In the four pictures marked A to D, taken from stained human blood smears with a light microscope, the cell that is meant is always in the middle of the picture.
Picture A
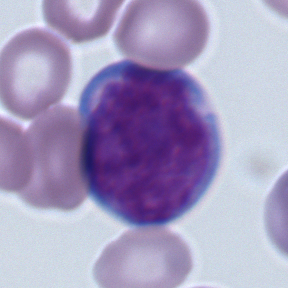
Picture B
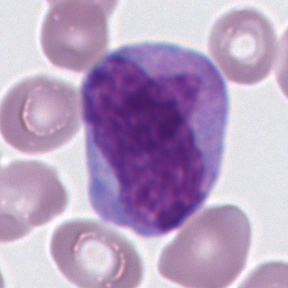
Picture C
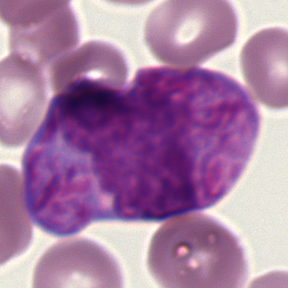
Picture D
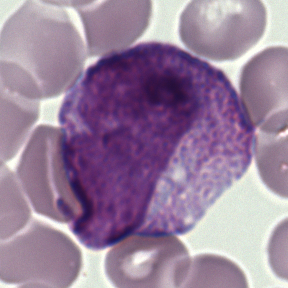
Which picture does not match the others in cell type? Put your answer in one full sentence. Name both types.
Unlike the rest, which show atypical promyelocytes, picture A shows a myeloblast.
